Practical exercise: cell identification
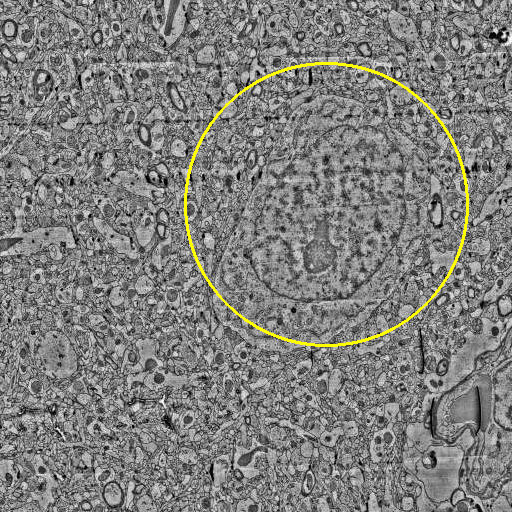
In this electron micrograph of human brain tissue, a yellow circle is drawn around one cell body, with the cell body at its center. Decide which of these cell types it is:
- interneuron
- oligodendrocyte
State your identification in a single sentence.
The ringed cell is an interneuron.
